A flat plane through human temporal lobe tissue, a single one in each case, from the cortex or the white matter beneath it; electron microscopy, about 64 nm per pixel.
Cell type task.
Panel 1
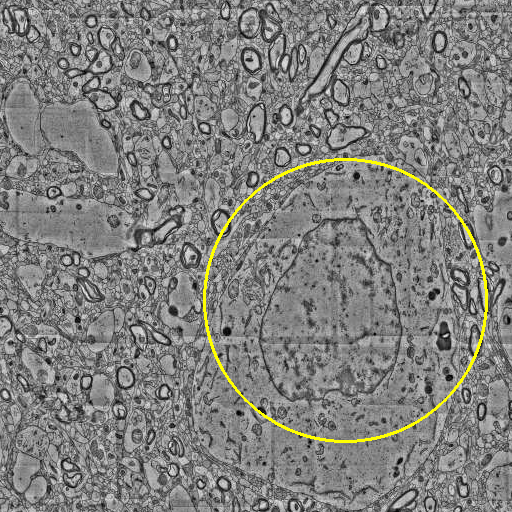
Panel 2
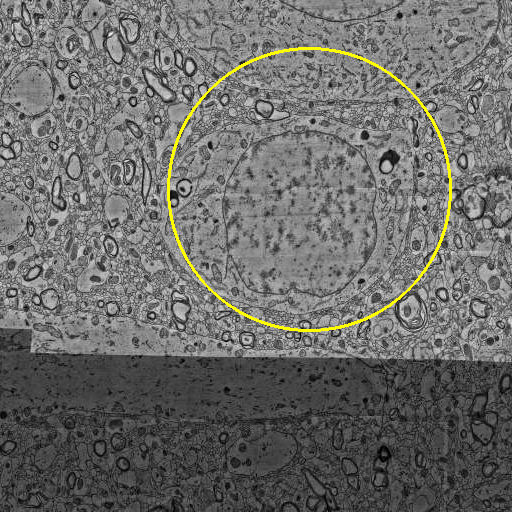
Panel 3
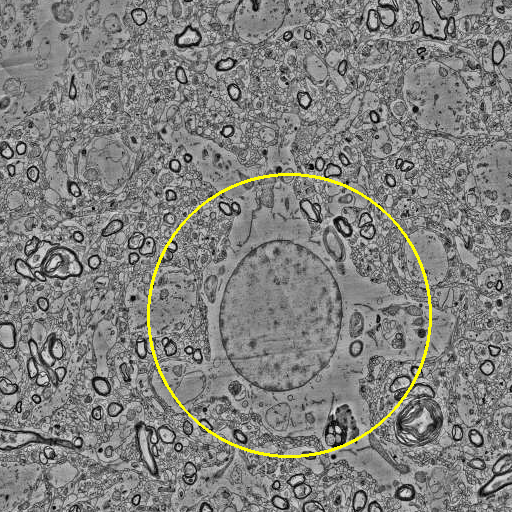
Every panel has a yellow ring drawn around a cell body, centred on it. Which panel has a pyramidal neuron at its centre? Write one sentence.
It sits at the centre of the ring in Panel 1.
